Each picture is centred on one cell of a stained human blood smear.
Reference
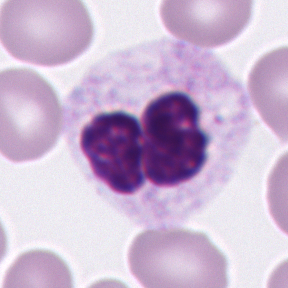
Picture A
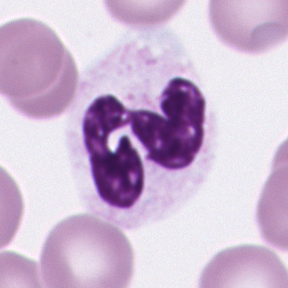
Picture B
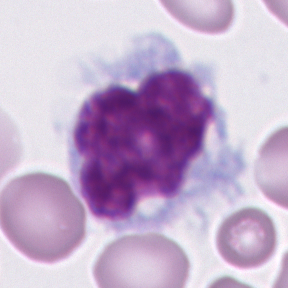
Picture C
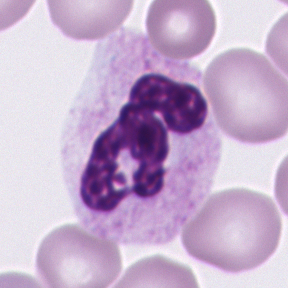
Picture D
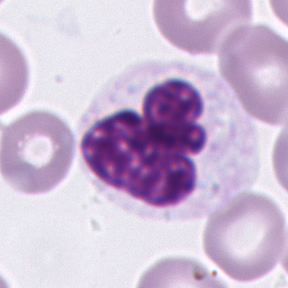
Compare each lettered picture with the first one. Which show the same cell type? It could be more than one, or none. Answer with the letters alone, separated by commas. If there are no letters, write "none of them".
A, C, D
